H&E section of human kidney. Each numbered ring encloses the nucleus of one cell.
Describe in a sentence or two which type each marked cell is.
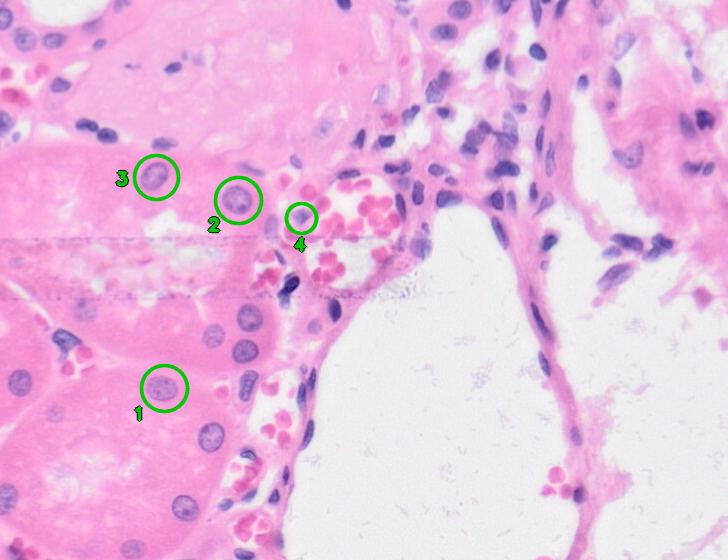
Cell 1 is a proximal tubule cell, cell 2 is a proximal tubule cell, cell 3 is a proximal tubule cell and cell 4 is an endothelial cell.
